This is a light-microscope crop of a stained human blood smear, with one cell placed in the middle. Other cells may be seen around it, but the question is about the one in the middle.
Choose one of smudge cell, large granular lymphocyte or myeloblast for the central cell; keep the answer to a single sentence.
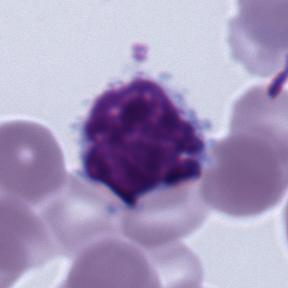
Of the cells in this crop, the central one is a large granular lymphocyte.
